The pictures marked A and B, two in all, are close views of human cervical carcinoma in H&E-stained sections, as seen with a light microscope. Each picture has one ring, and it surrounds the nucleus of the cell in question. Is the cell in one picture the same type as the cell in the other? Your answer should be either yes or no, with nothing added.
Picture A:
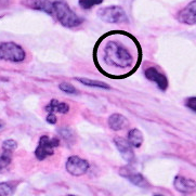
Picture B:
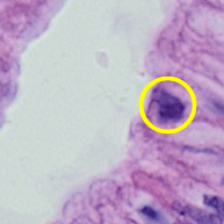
no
